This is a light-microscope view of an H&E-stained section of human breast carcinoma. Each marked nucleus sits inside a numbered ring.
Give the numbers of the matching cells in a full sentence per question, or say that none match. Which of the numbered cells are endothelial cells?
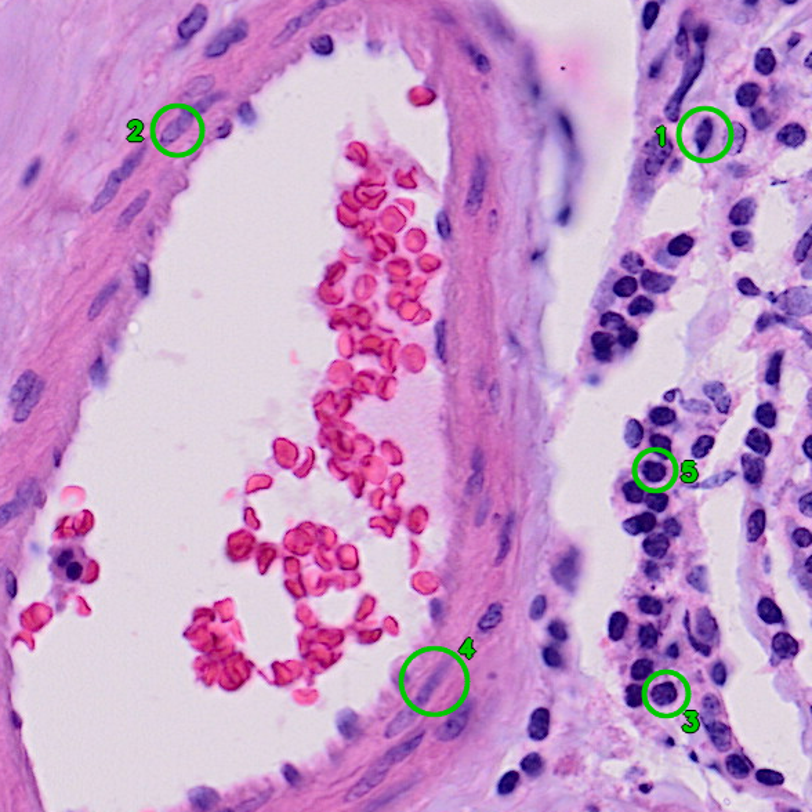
The numbers 2 and 4 in this section indicate endothelial cells.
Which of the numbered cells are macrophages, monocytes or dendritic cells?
The count of macrophages, monocytes or dendritic cells among the numbered cells is zero.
